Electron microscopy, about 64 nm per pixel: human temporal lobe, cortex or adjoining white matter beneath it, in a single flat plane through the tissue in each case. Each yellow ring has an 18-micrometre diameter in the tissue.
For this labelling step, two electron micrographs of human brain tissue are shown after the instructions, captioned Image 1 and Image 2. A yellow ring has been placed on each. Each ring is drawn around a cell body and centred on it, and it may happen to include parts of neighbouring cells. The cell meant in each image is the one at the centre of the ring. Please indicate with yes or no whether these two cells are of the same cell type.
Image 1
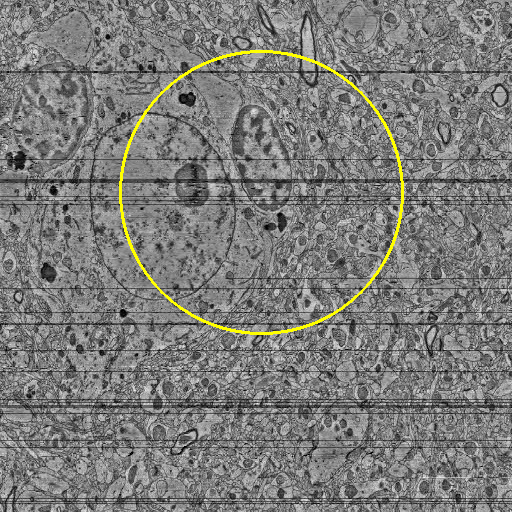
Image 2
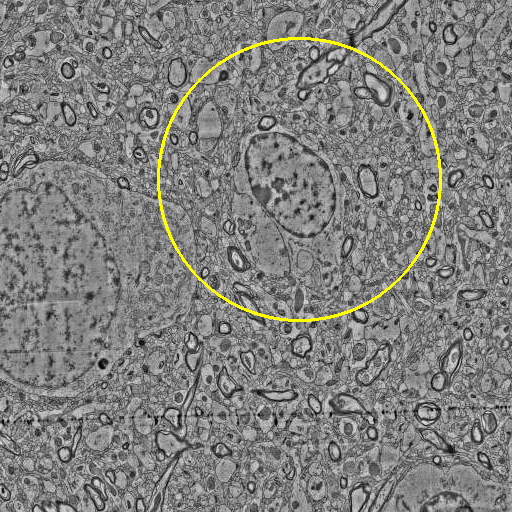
yes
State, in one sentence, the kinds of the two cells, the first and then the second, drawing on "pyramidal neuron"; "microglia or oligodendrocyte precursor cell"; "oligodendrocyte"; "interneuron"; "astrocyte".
Each cell at the centre of a ring is a microglial cell or oligodendrocyte precursor cell.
